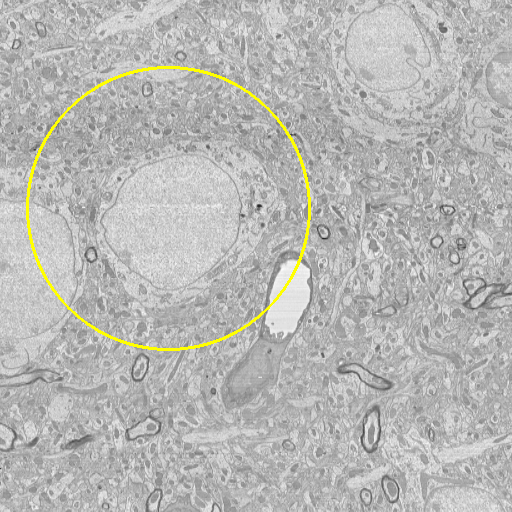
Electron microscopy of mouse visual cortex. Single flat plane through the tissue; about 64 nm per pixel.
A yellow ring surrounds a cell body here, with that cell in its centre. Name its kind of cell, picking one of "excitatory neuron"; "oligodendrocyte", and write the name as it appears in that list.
excitatory neuron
